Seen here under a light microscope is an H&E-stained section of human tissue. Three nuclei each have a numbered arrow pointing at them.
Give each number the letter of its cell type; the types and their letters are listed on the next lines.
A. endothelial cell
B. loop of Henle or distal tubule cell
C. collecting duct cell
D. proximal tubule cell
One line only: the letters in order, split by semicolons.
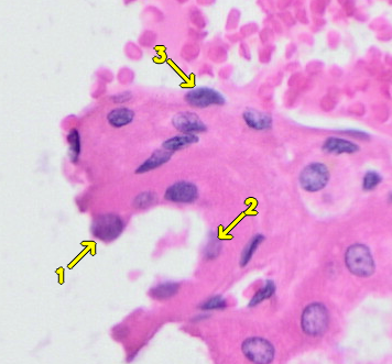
B; B; A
